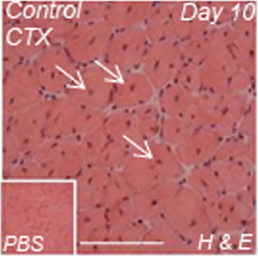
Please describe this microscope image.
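Skeletal muscle in cross section shows closely packed, polygonal pink myofibres of fairly even size with thin pale spaces between them. Many fibres carry a single dark purple nucleus in their centre rather than at the edge, and a few small nuclei lie in the spaces between fibres. Central nuclei like these mark regenerating muscle fibres.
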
